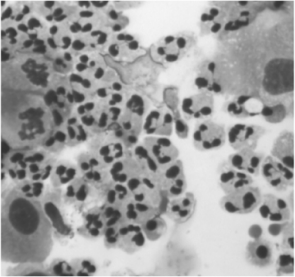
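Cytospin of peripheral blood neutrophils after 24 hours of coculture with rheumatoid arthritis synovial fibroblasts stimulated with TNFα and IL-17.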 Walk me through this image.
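The cells lie side by side and partly overlap in dense sheets. Among them, at the edges of the field, lie a few much larger cells with a single large round dark nucleus and abundant grey cytoplasm. The background between the clusters is pale and largely clear.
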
